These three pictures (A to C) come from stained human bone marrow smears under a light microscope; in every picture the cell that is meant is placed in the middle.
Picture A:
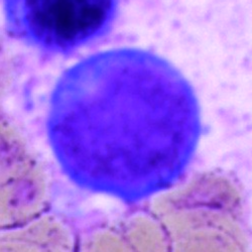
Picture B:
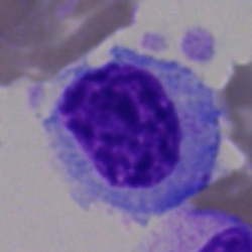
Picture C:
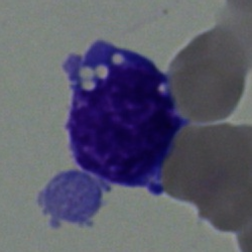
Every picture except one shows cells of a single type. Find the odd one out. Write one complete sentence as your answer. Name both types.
All pictures except B show blasts; picture B shows a hairy cell.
